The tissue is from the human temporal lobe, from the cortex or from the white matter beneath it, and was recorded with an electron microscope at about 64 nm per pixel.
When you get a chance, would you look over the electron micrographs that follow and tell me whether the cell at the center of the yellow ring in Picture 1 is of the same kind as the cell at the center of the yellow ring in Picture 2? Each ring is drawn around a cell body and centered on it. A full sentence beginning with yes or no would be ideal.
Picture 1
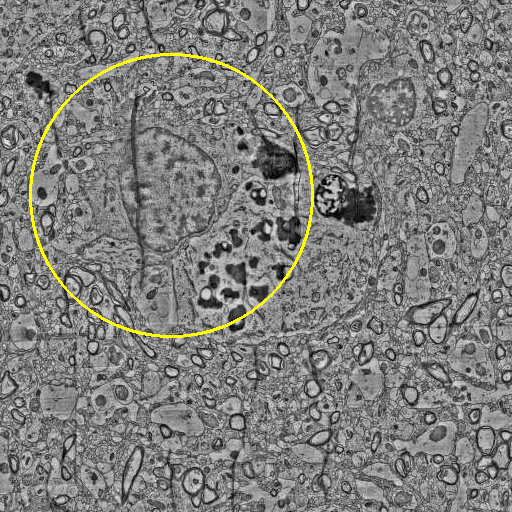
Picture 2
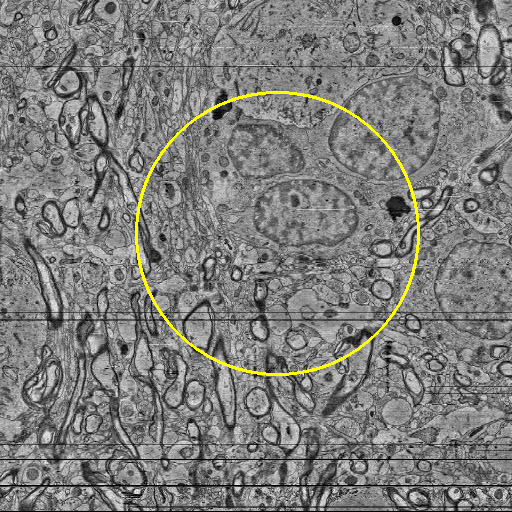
Yes, the two cells are of the same kind.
